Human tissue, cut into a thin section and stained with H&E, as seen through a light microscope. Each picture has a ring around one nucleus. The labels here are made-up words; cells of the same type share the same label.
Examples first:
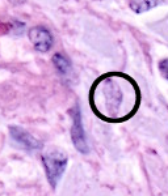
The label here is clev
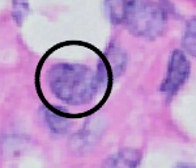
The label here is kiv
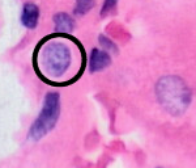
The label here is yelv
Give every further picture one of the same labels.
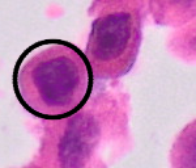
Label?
kiv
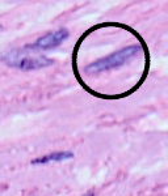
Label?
clev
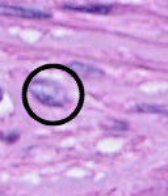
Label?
clev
